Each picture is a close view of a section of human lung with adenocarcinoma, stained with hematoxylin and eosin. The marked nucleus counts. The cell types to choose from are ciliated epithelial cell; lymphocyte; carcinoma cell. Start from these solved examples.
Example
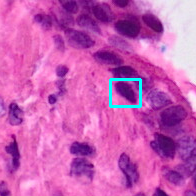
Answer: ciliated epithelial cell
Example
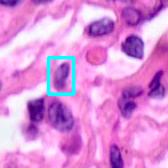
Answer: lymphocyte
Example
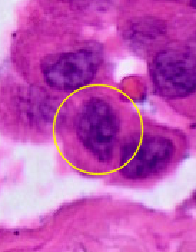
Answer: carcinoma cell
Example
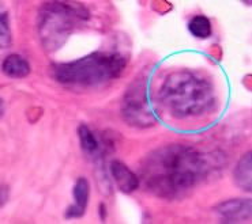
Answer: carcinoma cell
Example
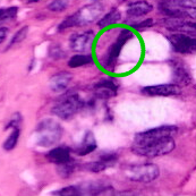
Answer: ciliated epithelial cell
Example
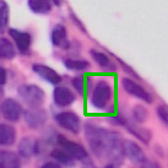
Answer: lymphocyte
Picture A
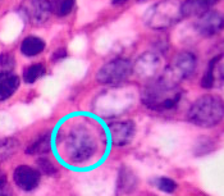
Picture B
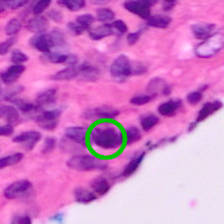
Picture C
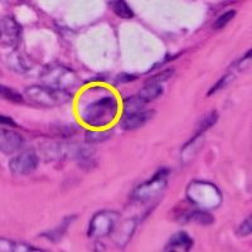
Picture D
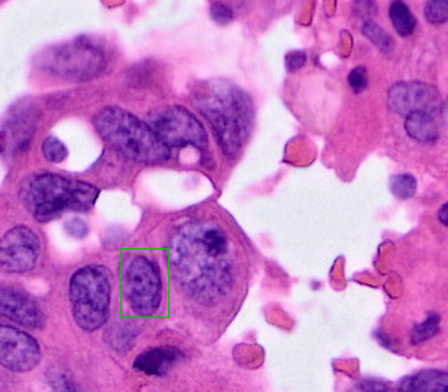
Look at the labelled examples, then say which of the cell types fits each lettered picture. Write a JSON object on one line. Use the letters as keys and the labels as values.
{"A": "ciliated epithelial cell", "B": "lymphocyte", "C": "ciliated epithelial cell", "D": "carcinoma cell"}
